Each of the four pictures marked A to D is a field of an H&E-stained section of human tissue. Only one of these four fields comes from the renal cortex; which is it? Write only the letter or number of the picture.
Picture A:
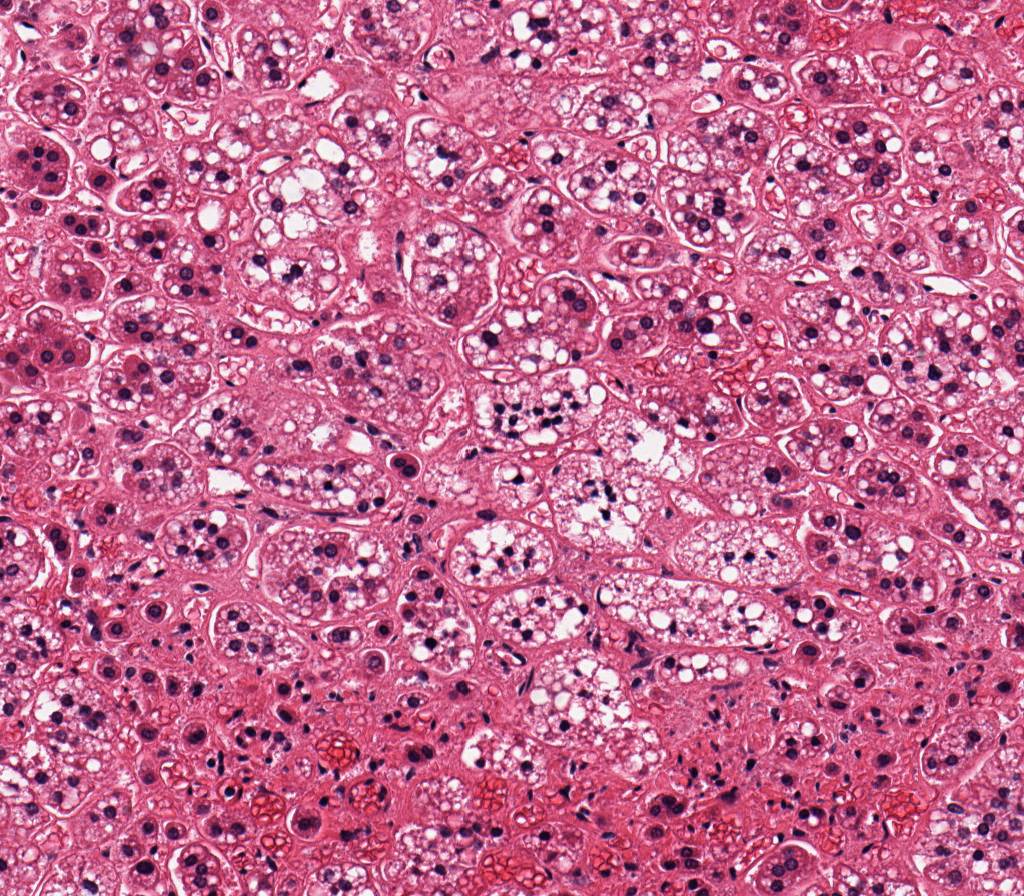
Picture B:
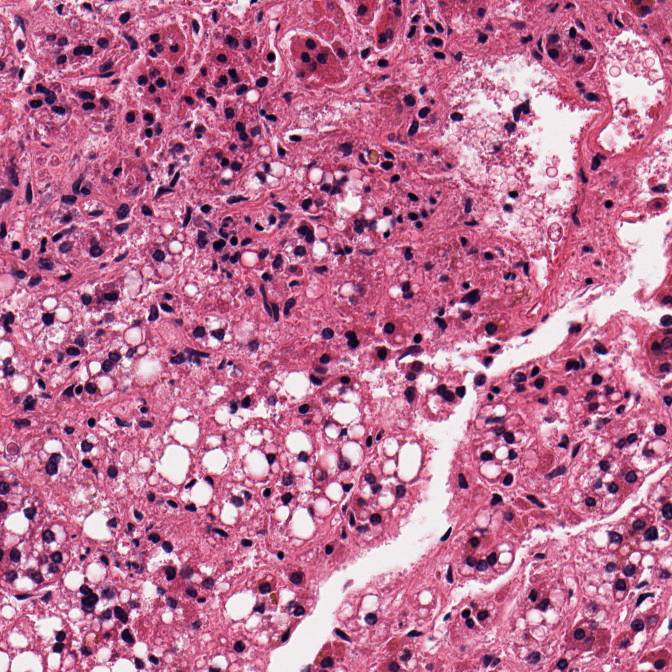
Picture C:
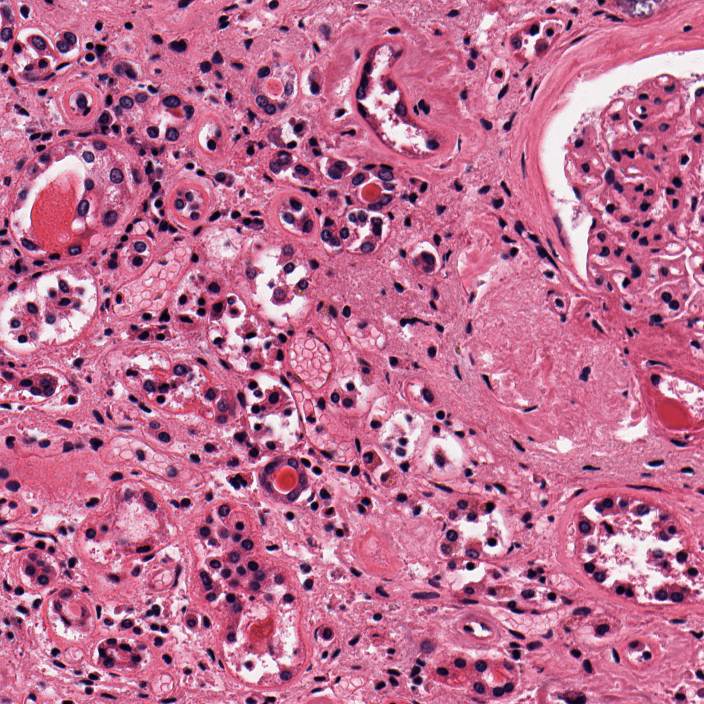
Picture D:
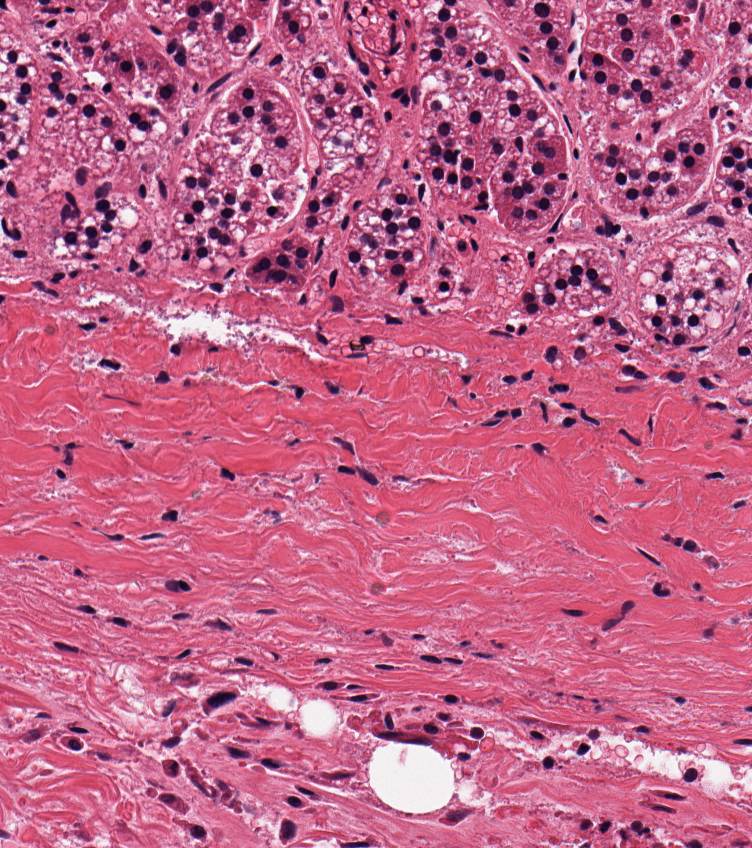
C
